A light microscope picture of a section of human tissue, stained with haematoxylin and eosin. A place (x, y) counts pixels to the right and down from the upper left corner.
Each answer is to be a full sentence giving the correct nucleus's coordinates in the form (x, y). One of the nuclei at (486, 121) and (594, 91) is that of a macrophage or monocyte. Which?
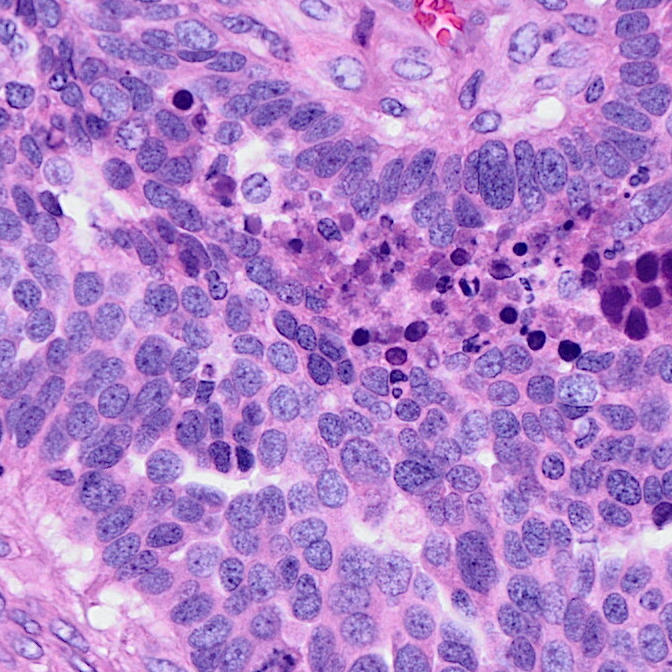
The member of the pair belonging to a macrophage or monocyte is the nucleus at (594, 91).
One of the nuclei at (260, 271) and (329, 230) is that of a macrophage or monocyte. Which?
Of the two nuclei, the one at (329, 230) belongs to a macrophage or monocyte.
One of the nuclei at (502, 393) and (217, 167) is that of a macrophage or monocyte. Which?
Between the two nuclei, the one sitting at (217, 167) belongs to a macrophage or monocyte.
